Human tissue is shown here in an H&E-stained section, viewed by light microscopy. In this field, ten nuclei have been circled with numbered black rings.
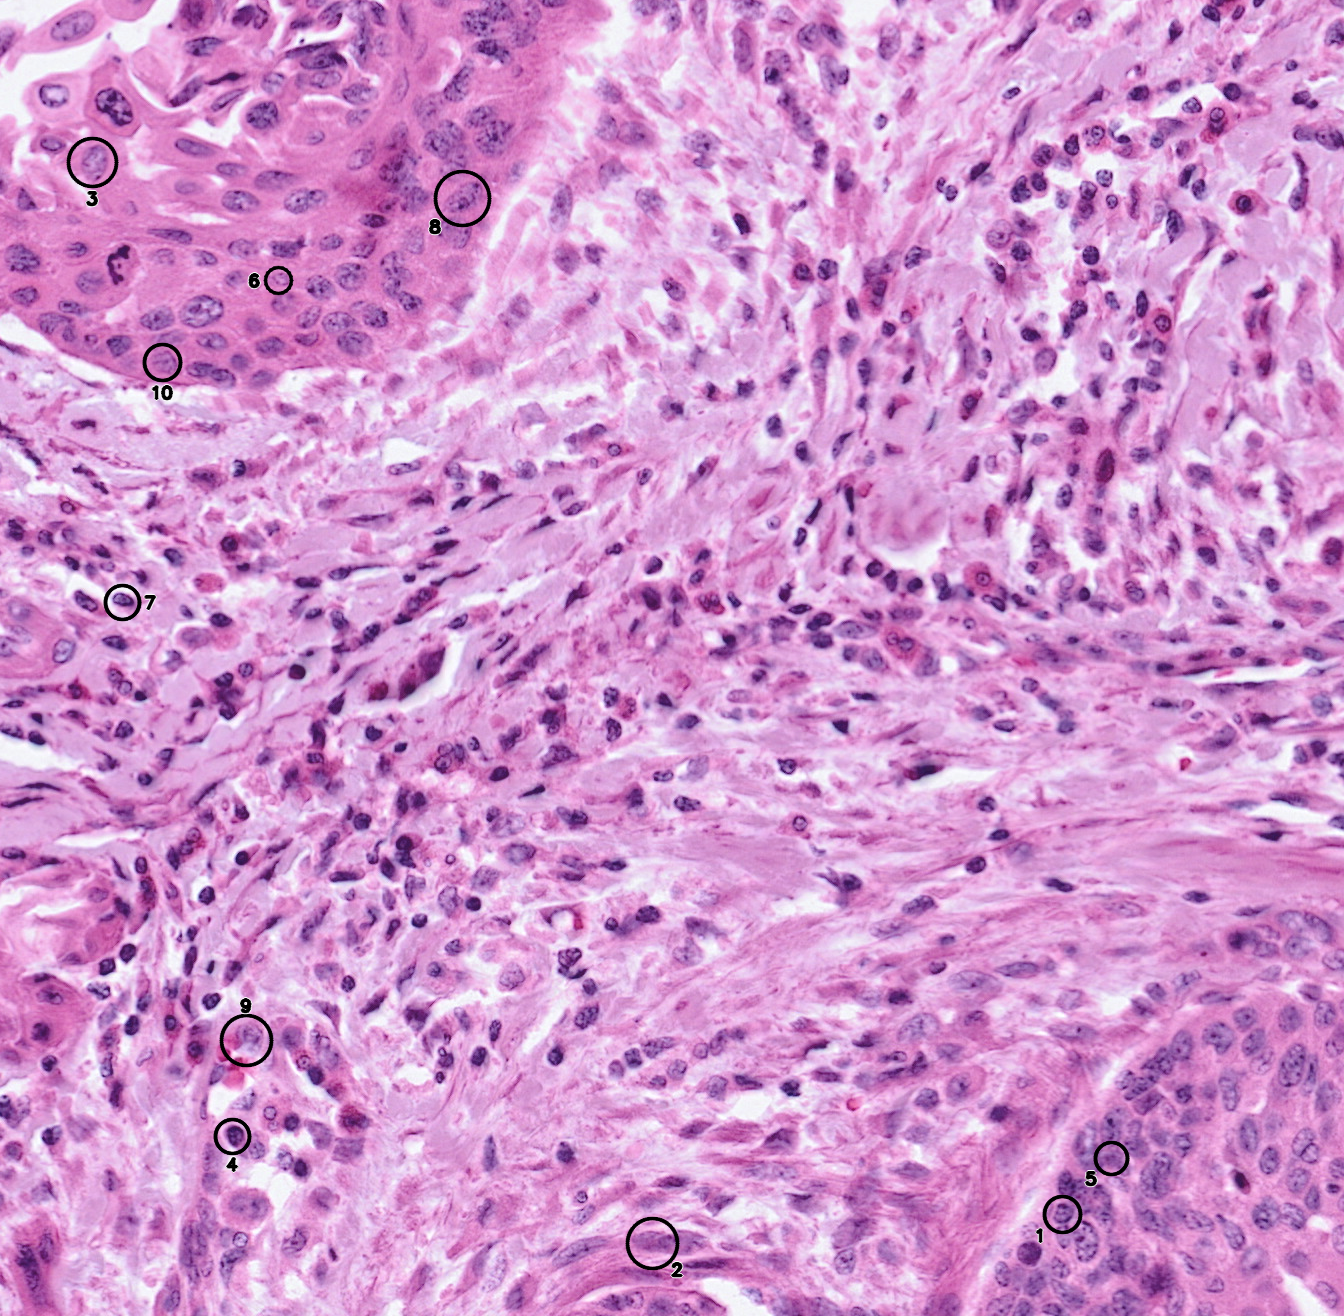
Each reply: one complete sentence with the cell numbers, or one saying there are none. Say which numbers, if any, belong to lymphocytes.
Within this tissue, the cells numbered 4 and 7 are lymphocytes.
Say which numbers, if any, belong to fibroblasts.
No marked cell except number 2 is a fibroblast.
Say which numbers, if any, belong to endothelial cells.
Of the cells carrying numbers, just cell 9 is an endothelial cell.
